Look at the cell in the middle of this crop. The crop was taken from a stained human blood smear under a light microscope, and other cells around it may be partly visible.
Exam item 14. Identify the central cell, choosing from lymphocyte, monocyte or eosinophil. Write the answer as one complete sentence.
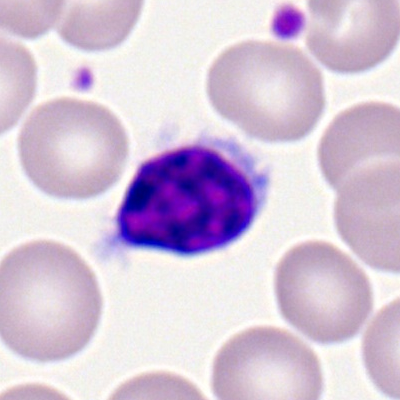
The cell at the middle of the crop is recognized as a lymphocyte.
